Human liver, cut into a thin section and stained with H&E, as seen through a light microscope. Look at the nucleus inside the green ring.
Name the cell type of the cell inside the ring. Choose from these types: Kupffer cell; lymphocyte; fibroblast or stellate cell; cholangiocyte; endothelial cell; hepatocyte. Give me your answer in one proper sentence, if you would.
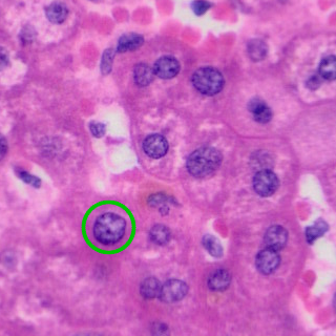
The classification of the cell inside the ring is as a hepatocyte.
